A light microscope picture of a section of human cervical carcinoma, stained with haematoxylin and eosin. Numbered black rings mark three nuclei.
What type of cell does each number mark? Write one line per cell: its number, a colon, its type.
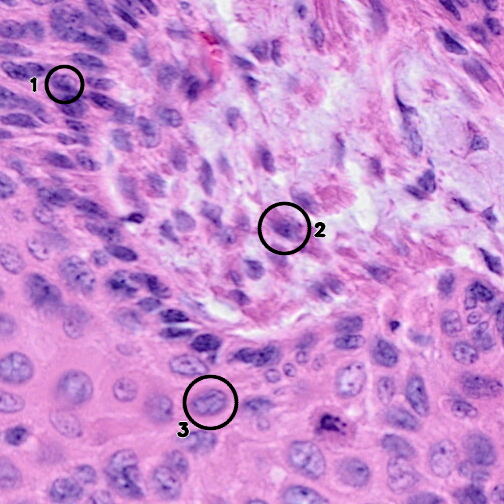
1: squamous carcinoma cell
2: fibroblast
3: squamous carcinoma cell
